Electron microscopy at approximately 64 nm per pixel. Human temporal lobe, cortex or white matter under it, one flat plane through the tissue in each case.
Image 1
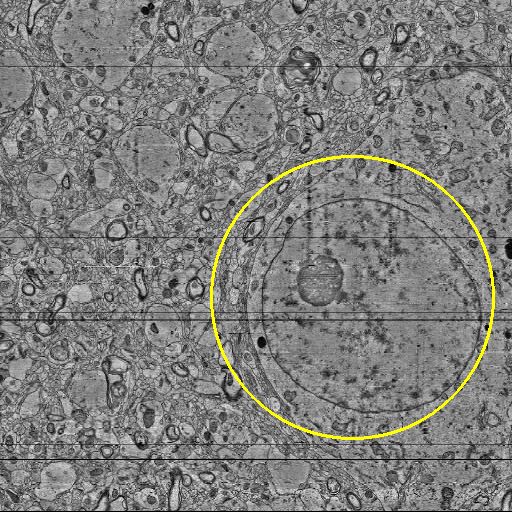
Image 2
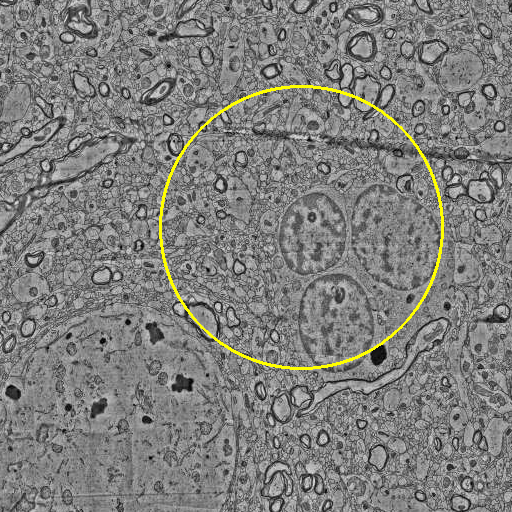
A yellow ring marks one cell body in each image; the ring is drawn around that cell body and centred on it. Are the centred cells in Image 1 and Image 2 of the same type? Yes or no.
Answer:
no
